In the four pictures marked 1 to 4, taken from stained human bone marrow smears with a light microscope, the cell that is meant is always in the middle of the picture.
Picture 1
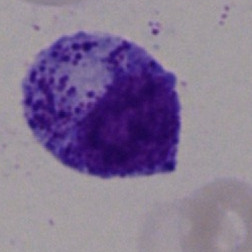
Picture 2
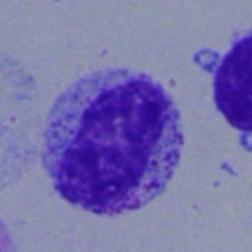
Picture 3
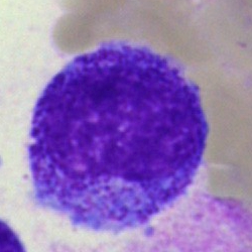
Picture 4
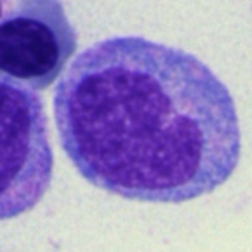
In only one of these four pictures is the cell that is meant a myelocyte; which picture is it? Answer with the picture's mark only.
2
